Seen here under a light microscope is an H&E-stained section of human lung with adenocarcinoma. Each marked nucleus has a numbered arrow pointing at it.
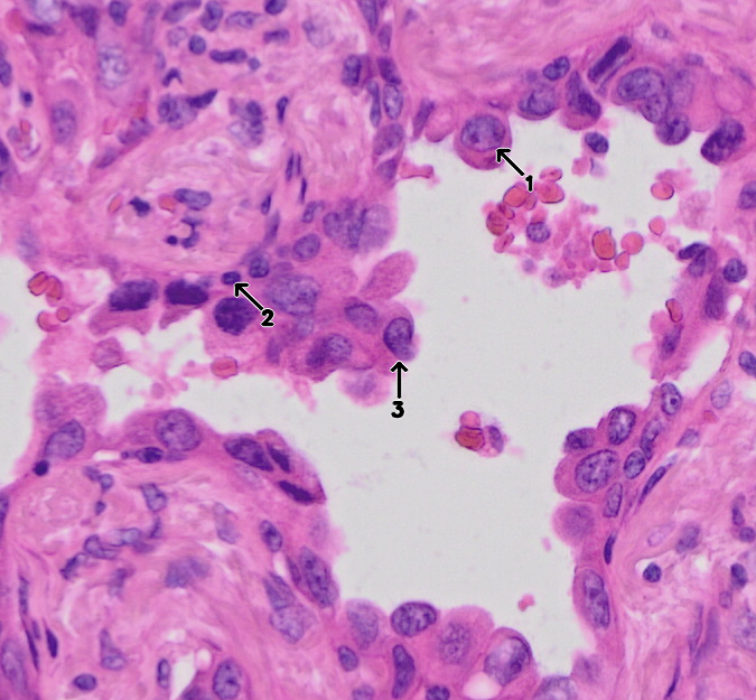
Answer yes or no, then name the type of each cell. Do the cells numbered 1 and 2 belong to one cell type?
No, cell 1 is a carcinoma cell, and cell 2 is a lymphocyte.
